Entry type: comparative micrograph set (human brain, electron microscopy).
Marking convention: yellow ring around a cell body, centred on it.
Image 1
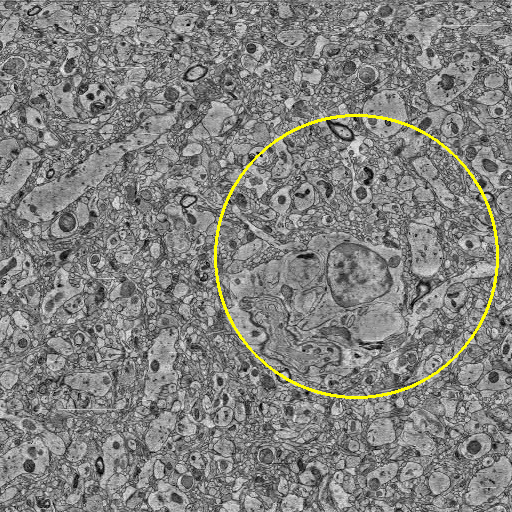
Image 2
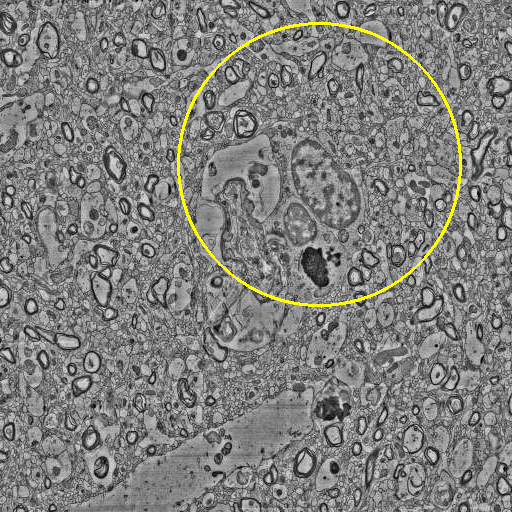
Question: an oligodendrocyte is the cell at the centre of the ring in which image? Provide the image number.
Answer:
2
